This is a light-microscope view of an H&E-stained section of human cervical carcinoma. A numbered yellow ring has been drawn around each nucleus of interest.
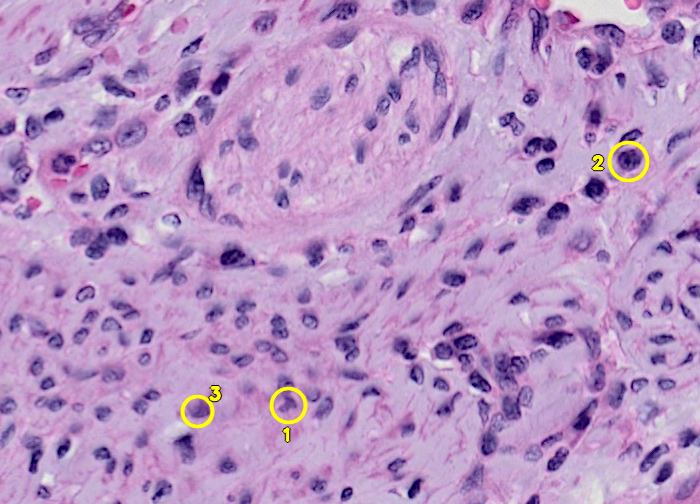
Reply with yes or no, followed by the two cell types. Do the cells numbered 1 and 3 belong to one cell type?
Yes, the pair formed by cells 1 and 3 consists of two smooth muscle cells.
